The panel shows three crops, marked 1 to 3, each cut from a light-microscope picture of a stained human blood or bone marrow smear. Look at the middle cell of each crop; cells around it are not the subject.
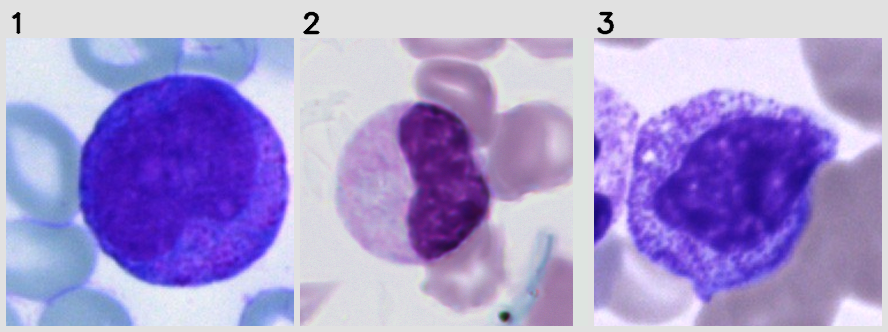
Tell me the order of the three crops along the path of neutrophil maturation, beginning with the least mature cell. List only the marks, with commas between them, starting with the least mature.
1, 3, 2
